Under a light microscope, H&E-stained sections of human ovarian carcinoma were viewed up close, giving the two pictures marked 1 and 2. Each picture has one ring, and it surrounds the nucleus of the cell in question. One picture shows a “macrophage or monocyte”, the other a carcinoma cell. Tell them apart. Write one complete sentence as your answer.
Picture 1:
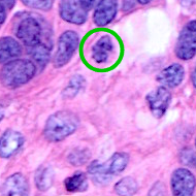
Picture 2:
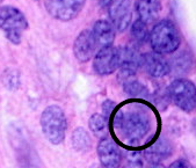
The cell in picture 1 is a “macrophage or monocyte”, and the one in picture 2 is a carcinoma cell.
